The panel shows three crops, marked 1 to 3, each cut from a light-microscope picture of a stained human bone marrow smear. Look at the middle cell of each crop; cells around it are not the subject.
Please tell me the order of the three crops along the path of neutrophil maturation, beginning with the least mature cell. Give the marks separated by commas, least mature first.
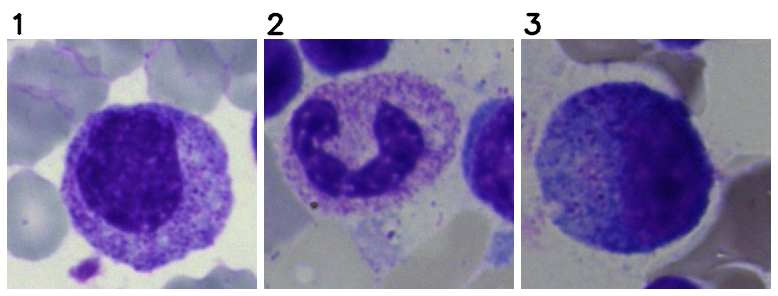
3, 1, 2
